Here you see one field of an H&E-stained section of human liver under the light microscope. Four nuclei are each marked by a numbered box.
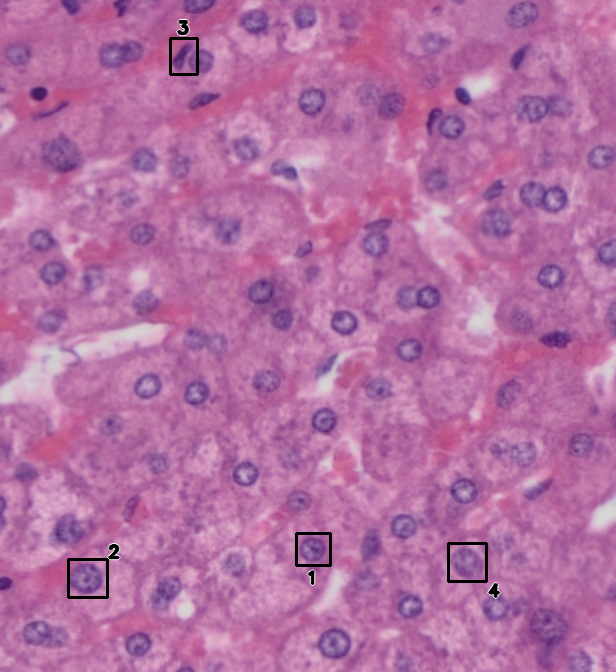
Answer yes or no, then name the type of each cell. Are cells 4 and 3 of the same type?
No, cell 4 is to be identified as a hepatocyte and cell 3 as a fibroblast or stellate cell.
